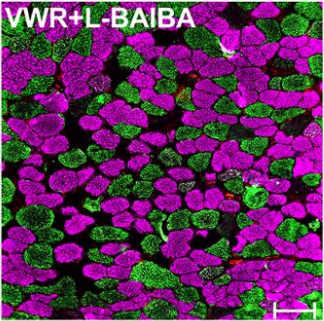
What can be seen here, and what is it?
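This is a cross-section of skeletal muscle showing myofibers cut transversely as packed polygonal profiles. Most fibers are filled with pink, and green fibers lie scattered singly or in small clusters among them. No large areas of tissue other than muscle fibers are seen in the field.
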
